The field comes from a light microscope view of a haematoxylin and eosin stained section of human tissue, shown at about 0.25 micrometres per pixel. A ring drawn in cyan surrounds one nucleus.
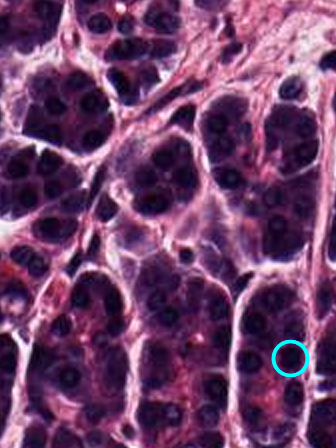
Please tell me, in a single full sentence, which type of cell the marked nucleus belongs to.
The mark in this picture falls on the nucleus of a pancreatic acinar cell.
